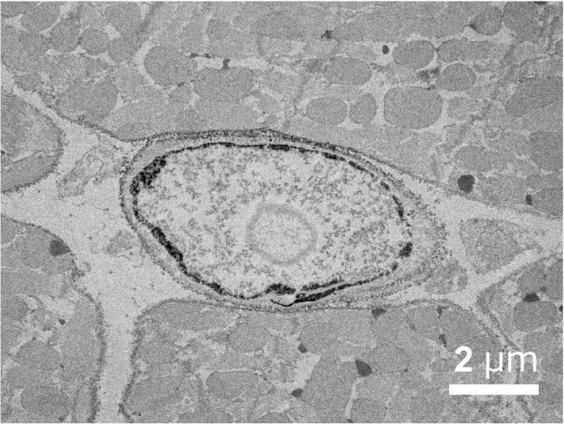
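Here a capillary in heart muscle is cut across, lying in pale interstitial space between heart muscle cells. The capillary is oval with a thin endothelial wall, and its lumen holds a pale, granular content with a rounded outline in the middle. Along the inner surface of the wall runs only a thin, patchy dark line; there are no bushy tufts of surface coat projecting into the lumen, so the endothelial surface coat appears thin and degraded.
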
